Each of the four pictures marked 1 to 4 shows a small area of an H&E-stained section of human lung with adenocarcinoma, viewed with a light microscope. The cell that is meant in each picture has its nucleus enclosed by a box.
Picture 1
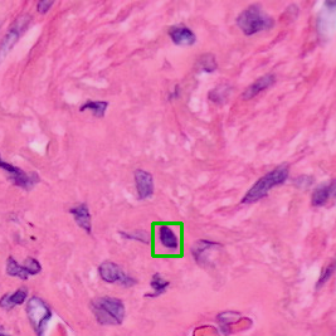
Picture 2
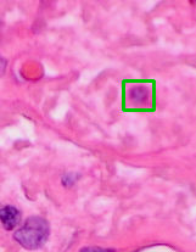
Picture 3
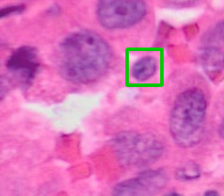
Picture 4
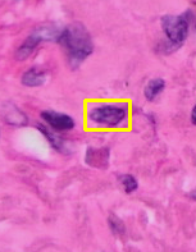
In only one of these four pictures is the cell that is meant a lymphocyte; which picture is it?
3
